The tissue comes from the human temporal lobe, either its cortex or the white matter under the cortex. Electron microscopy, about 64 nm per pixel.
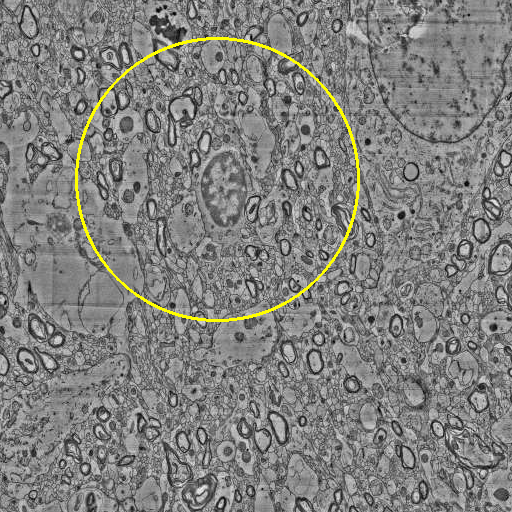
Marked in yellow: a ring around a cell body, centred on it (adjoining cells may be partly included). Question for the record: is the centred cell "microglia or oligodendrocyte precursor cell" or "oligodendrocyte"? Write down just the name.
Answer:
oligodendrocyte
